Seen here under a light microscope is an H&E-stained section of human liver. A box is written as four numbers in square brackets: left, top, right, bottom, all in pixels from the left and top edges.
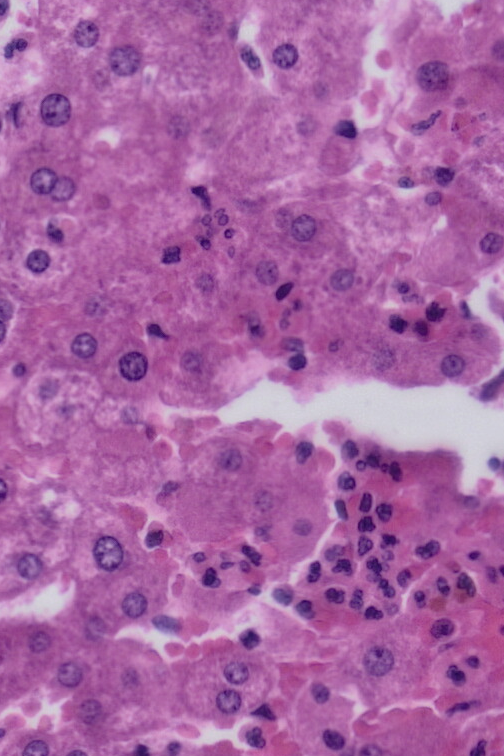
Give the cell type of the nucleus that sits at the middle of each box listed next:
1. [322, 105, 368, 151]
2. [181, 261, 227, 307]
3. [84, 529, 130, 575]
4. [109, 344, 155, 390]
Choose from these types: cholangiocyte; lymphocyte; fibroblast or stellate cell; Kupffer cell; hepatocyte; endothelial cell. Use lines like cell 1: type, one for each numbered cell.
cell 1: fibroblast or stellate cell
cell 2: hepatocyte
cell 3: hepatocyte
cell 4: hepatocyte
